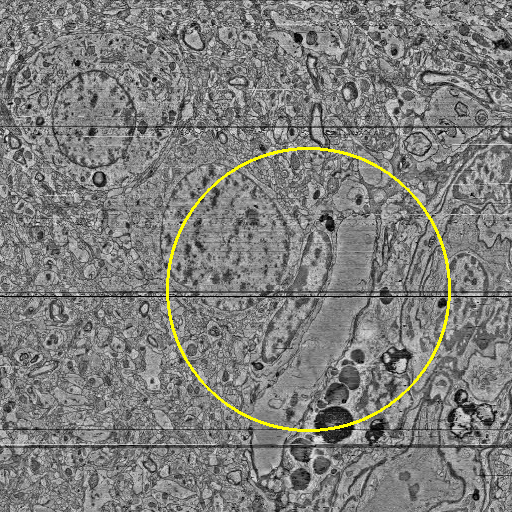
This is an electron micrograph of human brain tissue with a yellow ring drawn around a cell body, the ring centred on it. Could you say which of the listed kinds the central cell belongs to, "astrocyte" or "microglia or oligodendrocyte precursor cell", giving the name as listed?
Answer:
microglia or oligodendrocyte precursor cell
